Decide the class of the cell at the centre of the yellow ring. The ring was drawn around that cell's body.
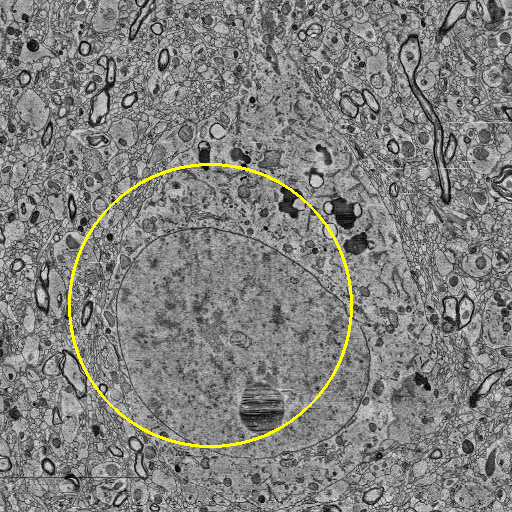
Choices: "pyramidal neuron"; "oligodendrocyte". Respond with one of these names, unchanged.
pyramidal neuron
